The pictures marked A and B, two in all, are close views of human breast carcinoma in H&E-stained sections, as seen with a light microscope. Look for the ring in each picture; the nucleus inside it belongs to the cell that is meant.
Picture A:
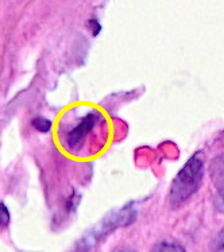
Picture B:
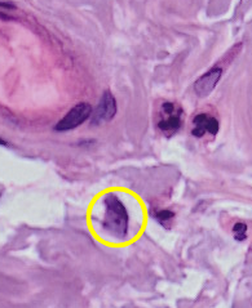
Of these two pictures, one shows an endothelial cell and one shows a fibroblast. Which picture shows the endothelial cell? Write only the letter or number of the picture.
A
